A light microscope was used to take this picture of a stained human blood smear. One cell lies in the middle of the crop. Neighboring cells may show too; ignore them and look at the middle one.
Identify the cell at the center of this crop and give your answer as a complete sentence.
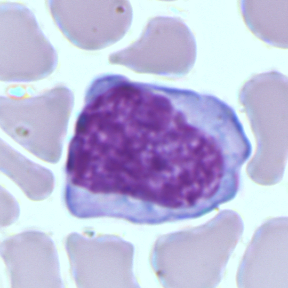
The cell occupying the middle of the crop is a plasma cell.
